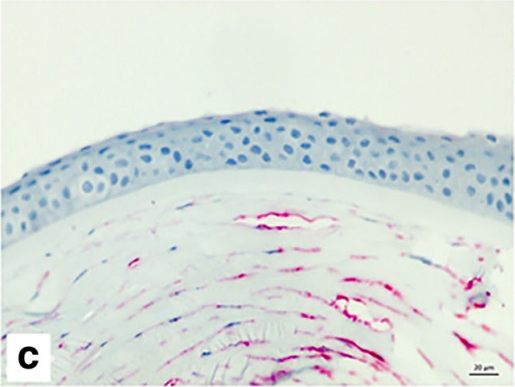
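This is cornea, with a stratified epithelium of closely packed cells with blue oval nuclei over a pale stroma. In the stroma, thin, spindle-shaped stromal fibrocytes stain red and run along the lamellae, some with long slender processes. The epithelium shows no red staining.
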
